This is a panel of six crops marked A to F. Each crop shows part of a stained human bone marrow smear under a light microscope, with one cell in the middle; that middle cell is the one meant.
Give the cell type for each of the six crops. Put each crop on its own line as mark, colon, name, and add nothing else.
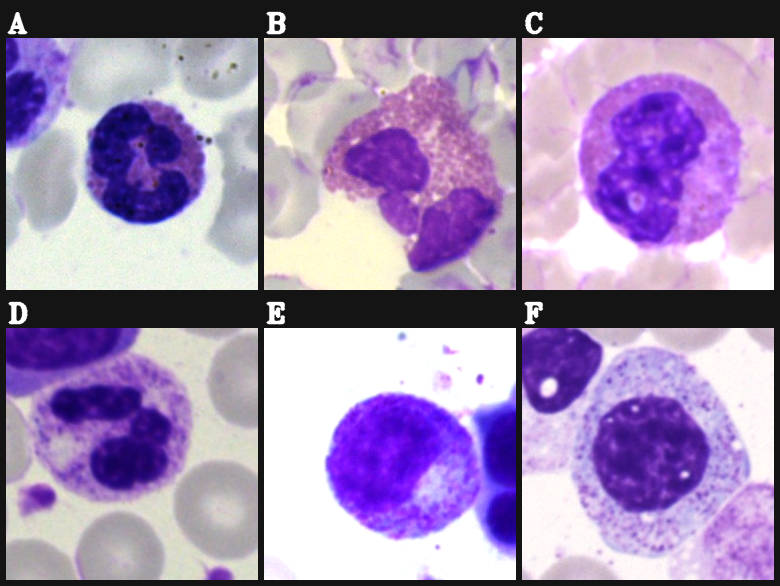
A: eosinophil
B: eosinophil
C: eosinophil
D: segmented neutrophil
E: myelocyte
F: myelocyte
